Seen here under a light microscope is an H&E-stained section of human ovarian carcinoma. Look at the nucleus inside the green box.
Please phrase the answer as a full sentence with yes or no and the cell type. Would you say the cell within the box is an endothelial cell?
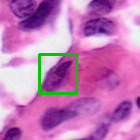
Yes, the claim that the cell within the box is an endothelial cell holds true.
